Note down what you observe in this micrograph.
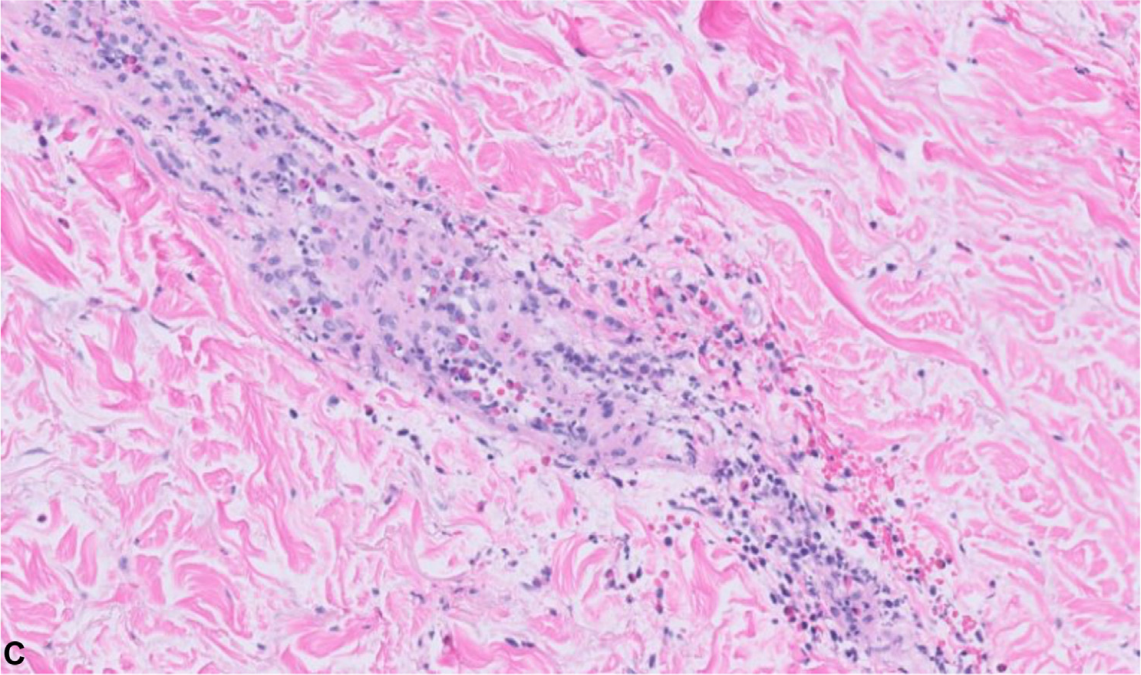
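A dermal blood vessel runs diagonally through pink collagen bundles, its wall crowded with inflammatory cells, many with small dark segmented or fragmented nuclei. Red blood cells spill out of the vessel into the surrounding dermis, especially toward the lower right, and the vessel wall looks smudged and pale pink in places.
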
